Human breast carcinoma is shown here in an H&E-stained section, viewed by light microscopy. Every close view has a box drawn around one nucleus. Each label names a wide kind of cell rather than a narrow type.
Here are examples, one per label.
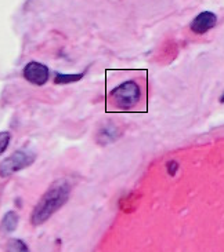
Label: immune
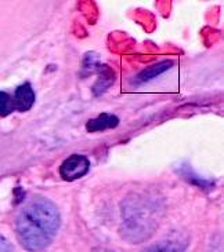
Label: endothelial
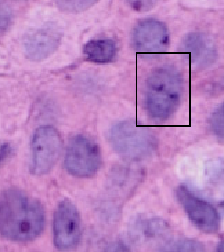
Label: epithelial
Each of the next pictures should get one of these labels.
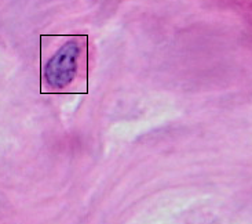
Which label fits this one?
immune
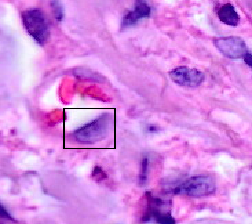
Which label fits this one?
endothelial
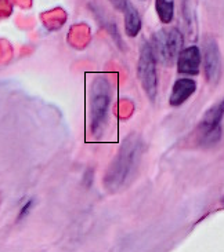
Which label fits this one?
endothelial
